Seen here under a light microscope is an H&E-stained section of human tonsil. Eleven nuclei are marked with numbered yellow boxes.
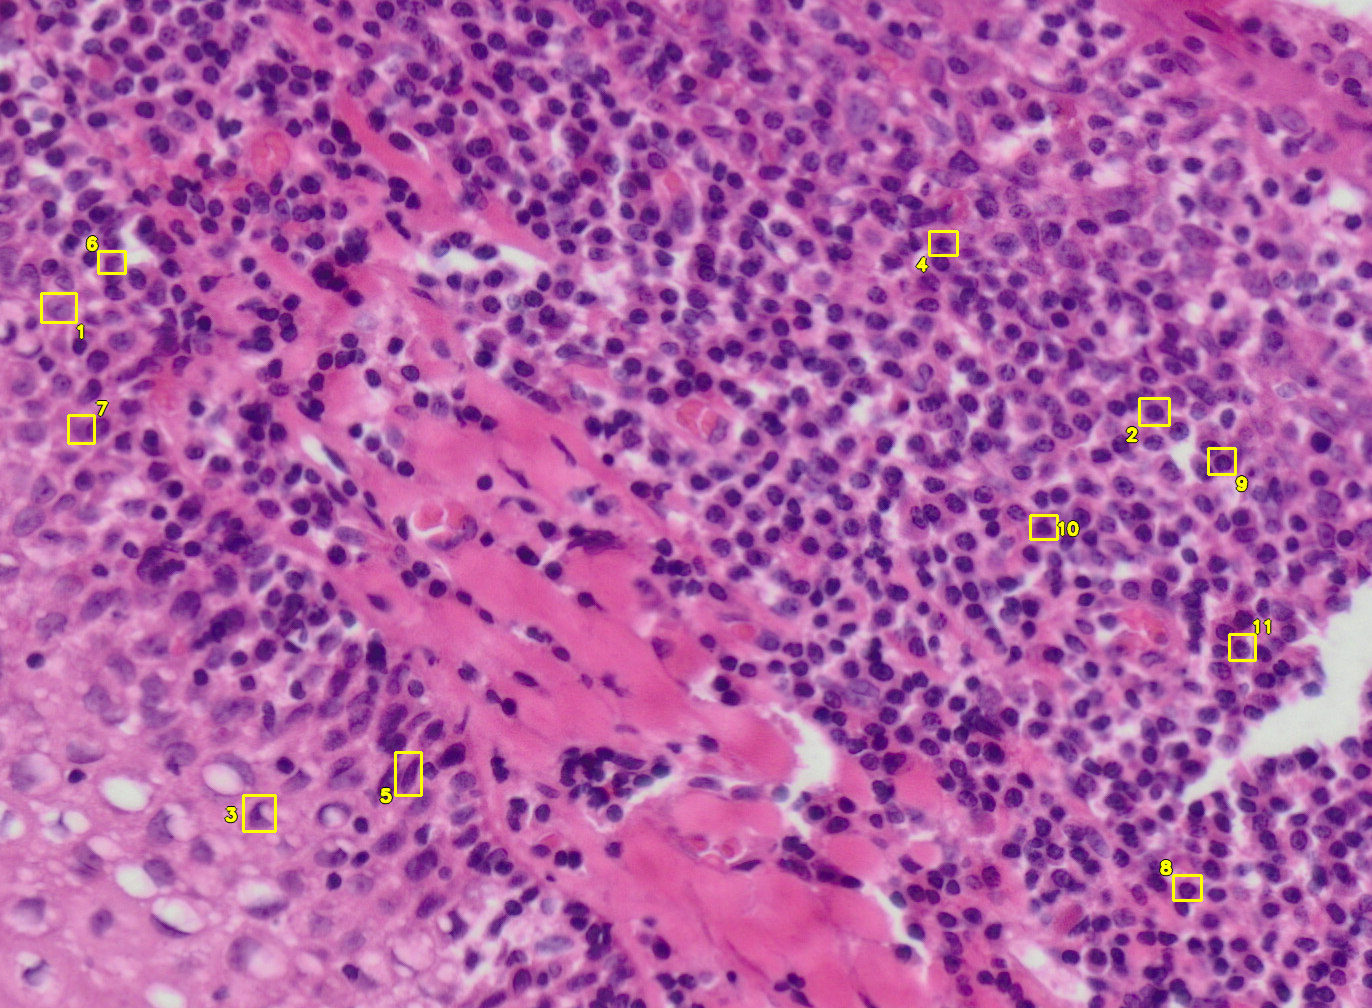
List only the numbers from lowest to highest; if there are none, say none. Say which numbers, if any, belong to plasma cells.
2, 4, 8, 9, 10, 11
